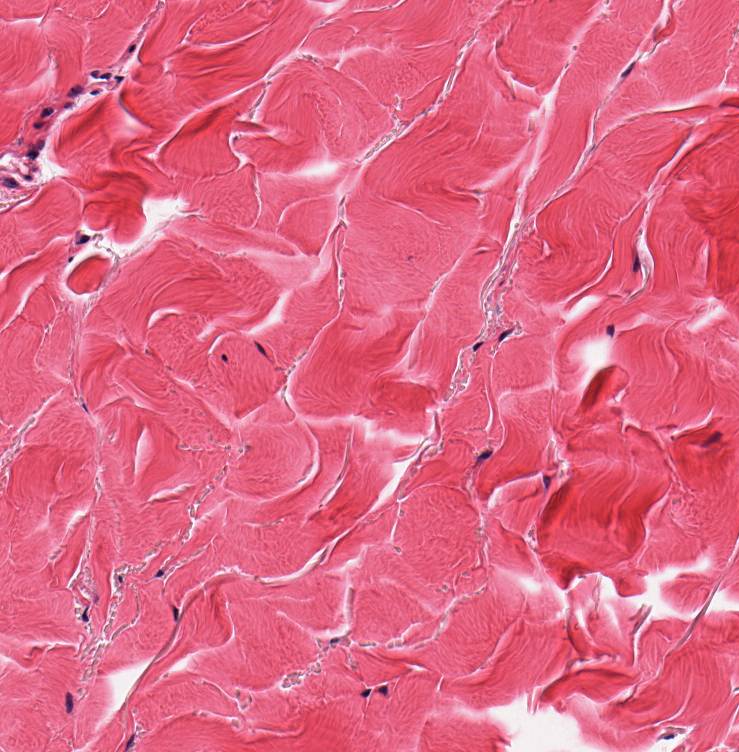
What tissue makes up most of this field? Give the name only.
dermis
